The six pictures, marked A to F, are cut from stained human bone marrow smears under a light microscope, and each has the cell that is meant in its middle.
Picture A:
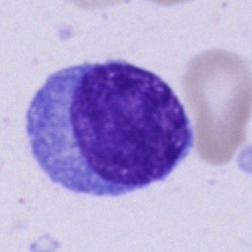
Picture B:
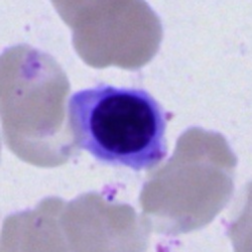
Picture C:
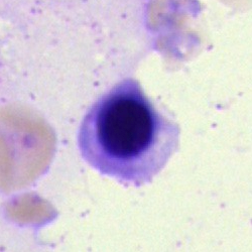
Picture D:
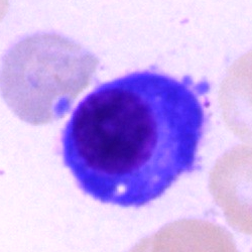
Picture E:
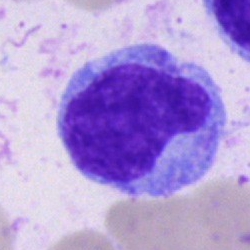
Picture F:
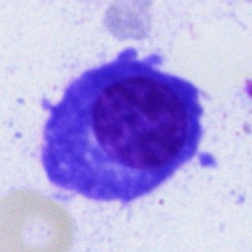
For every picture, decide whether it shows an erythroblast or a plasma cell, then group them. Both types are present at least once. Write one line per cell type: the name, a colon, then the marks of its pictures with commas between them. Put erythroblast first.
erythroblast: B, C
plasma cell: A, D, E, F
